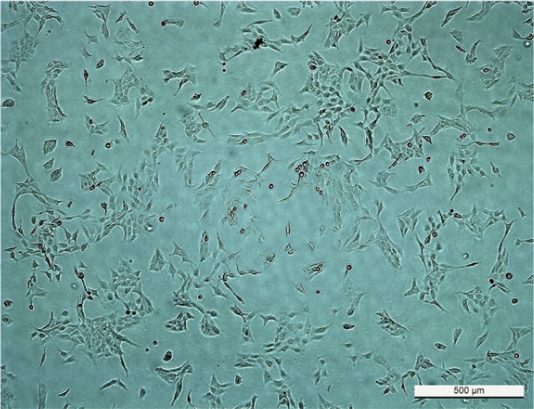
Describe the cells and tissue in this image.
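Most cells lie flat and spread out, with polygonal or spindle-shaped outlines and some thin extensions reaching toward their neighbours. In places they gather into small loose clusters, while open areas of empty dish lie between the groups. Scattered among them are a few small, round, bright-rimmed cells that sit up from the surface rather than spreading flat.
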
